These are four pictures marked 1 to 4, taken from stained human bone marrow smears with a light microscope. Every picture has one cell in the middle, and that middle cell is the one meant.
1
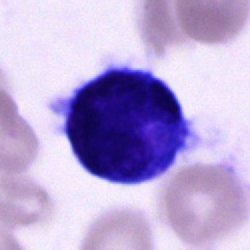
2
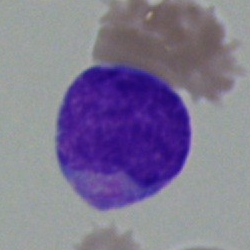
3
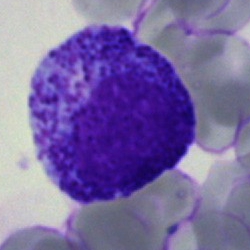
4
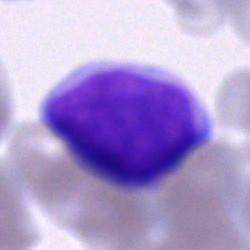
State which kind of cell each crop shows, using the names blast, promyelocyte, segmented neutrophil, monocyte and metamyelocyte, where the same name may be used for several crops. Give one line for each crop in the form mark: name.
1: blast
2: blast
3: promyelocyte
4: blast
